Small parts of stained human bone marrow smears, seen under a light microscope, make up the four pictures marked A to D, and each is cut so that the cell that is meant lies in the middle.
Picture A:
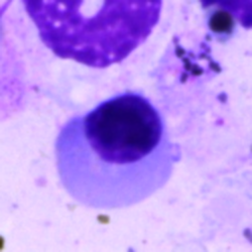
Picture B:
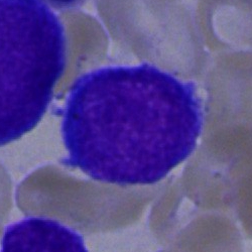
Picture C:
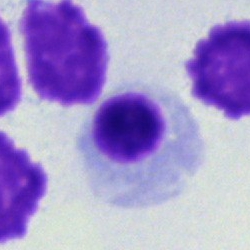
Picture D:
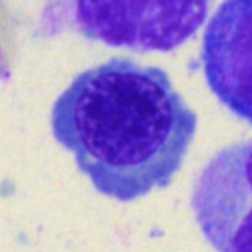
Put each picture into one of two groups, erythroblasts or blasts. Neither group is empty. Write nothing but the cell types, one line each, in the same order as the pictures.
erythroblast
blast
erythroblast
erythroblast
